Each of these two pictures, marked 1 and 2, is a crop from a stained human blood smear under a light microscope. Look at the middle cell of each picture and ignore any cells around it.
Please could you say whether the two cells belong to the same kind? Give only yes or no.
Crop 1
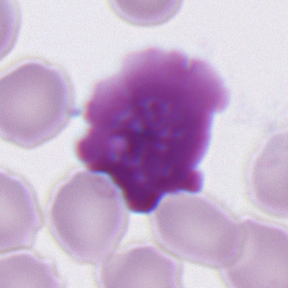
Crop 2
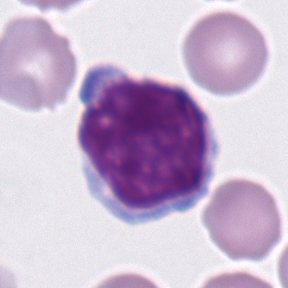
no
